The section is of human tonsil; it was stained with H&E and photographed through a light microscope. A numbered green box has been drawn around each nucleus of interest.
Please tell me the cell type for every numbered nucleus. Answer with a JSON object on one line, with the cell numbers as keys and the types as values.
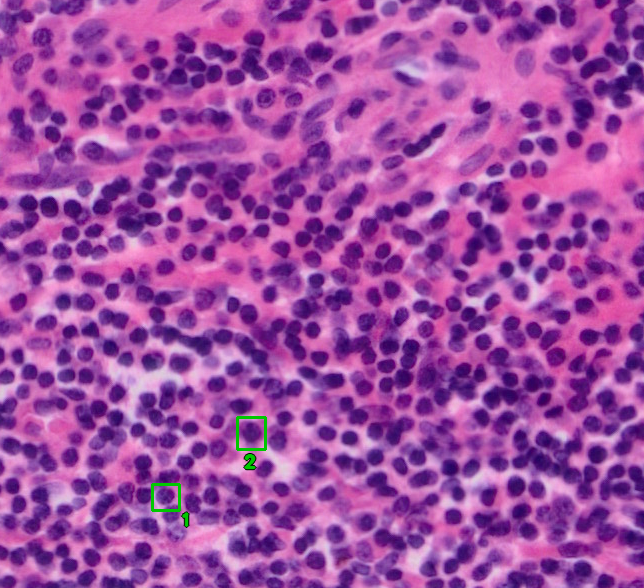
{"1": "small lymphocyte", "2": "plasma cell"}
